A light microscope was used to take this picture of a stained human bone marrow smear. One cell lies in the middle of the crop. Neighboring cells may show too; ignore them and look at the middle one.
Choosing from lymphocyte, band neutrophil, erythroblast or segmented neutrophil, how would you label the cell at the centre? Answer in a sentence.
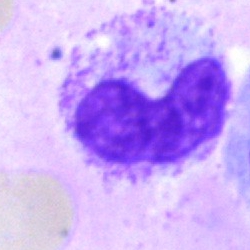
In the middle of this smear crop is a band neutrophil.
